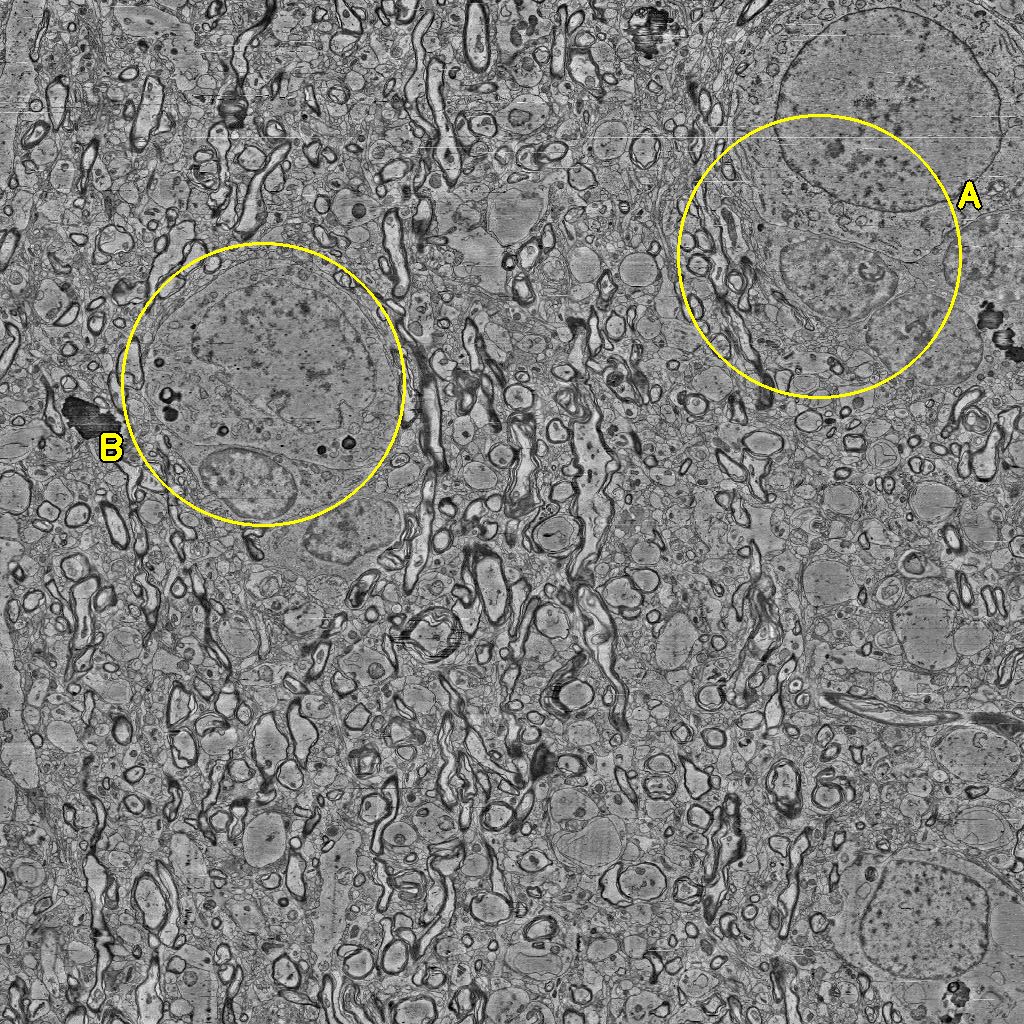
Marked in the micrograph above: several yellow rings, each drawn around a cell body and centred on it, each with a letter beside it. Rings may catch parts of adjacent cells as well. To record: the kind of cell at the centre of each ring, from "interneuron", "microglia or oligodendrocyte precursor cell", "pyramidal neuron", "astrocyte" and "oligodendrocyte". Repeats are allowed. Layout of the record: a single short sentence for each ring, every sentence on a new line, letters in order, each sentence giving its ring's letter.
At the centre of ring A lies an oligodendrocyte.
At the centre of ring B lies an interneuron.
